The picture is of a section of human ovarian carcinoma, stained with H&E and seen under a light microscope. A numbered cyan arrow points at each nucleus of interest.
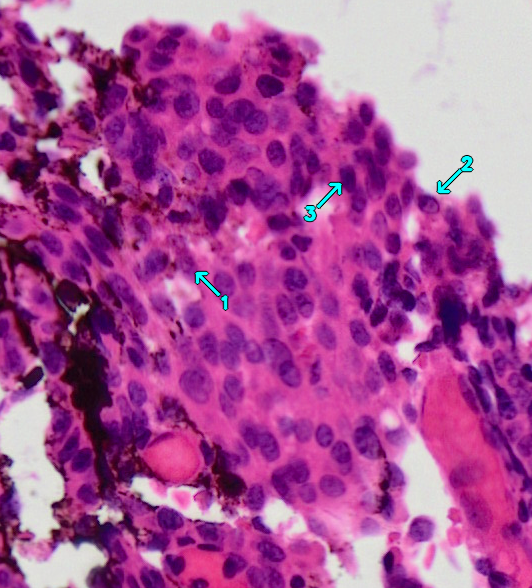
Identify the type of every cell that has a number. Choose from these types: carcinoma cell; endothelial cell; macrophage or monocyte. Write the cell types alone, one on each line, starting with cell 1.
carcinoma cell
macrophage or monocyte
carcinoma cell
